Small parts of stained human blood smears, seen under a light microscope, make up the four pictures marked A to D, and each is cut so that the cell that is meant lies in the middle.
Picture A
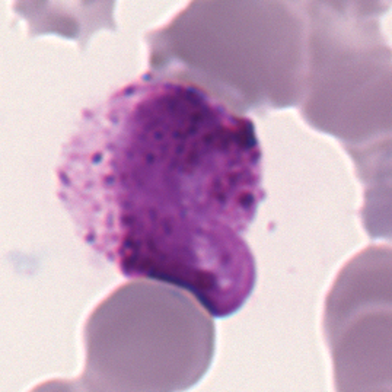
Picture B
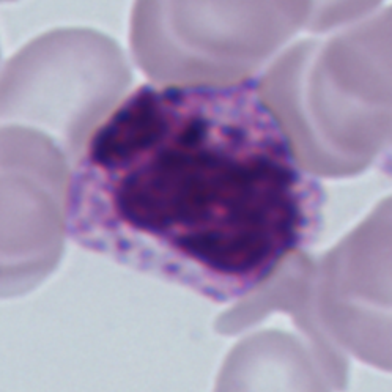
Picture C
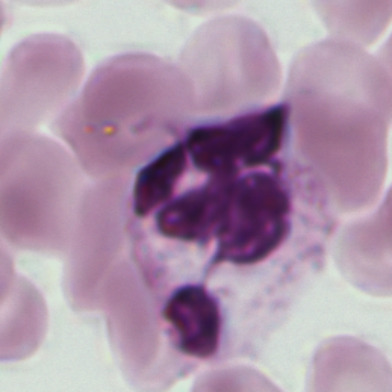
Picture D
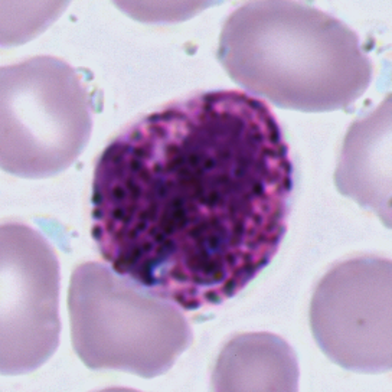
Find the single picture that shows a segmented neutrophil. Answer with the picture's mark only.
C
